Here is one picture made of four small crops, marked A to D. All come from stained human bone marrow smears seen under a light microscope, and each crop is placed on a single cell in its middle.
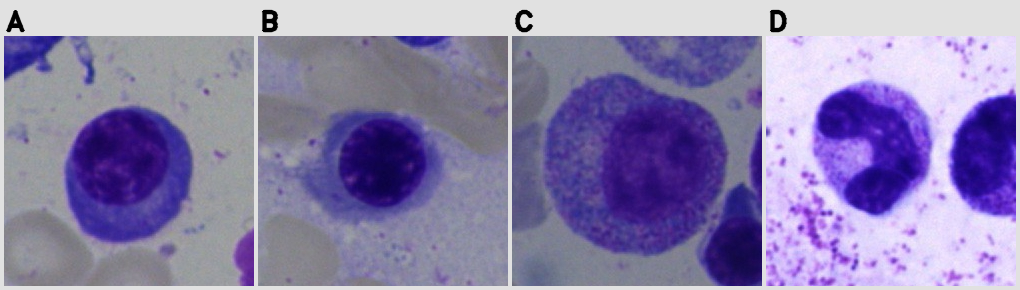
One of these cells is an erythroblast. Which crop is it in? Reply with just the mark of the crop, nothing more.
B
